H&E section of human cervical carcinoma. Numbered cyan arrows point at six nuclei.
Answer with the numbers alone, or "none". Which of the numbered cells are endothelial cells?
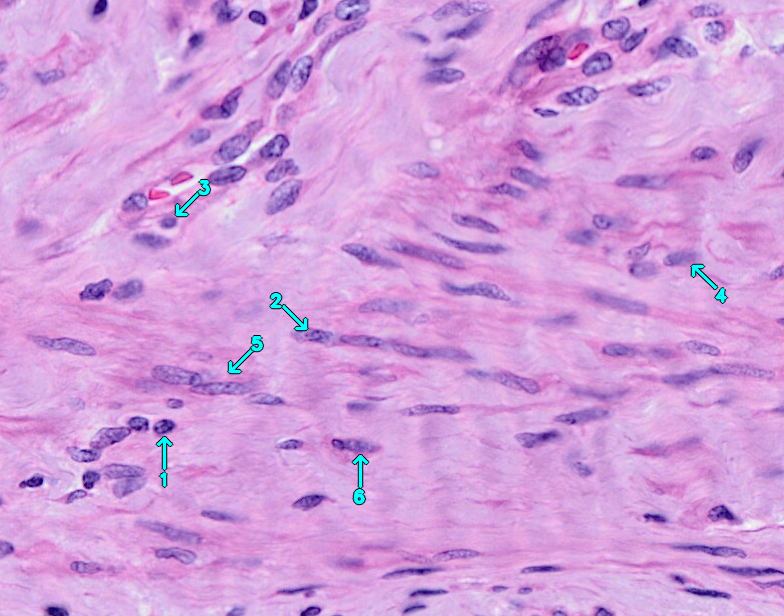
3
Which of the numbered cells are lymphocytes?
1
